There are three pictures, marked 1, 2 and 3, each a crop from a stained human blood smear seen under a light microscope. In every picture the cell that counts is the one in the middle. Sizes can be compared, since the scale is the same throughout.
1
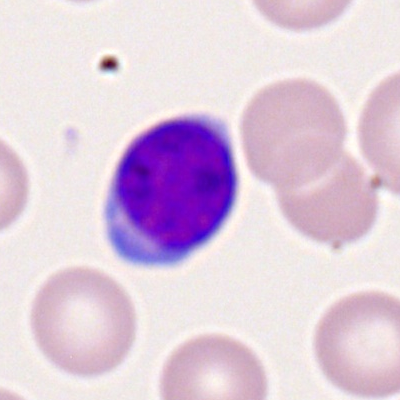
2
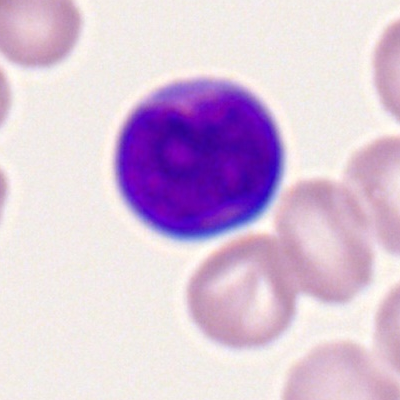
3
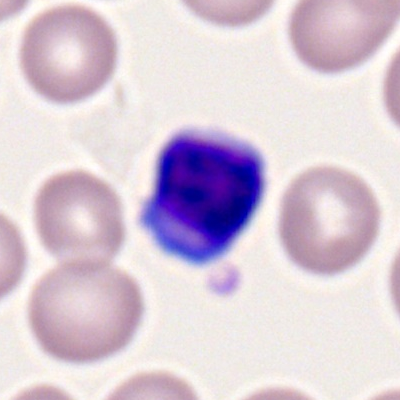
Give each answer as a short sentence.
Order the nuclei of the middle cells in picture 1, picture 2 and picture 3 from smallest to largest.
Going up, they run 3, 1, 2.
